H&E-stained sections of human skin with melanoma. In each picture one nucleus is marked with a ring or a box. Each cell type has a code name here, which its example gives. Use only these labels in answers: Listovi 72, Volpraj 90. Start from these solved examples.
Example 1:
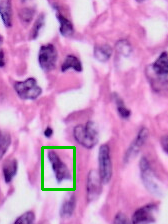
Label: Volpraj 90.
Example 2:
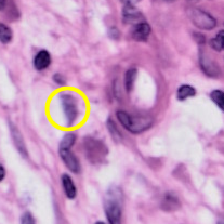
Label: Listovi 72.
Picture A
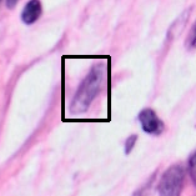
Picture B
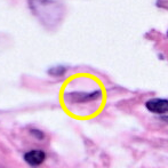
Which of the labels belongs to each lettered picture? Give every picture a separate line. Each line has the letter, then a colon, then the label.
A: Listovi 72.
B: Listovi 72.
